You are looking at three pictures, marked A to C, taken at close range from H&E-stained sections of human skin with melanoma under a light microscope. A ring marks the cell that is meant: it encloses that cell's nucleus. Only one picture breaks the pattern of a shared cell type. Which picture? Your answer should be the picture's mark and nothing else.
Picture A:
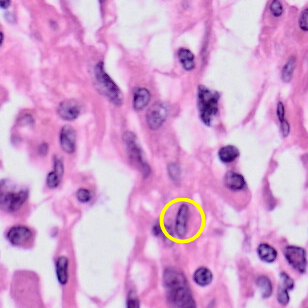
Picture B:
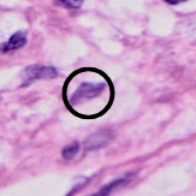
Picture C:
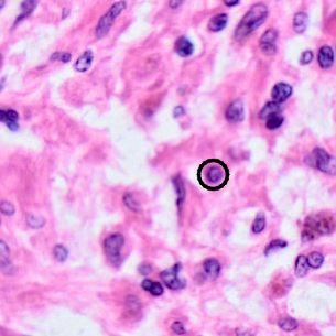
B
